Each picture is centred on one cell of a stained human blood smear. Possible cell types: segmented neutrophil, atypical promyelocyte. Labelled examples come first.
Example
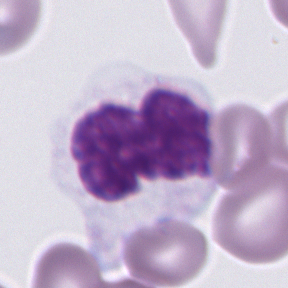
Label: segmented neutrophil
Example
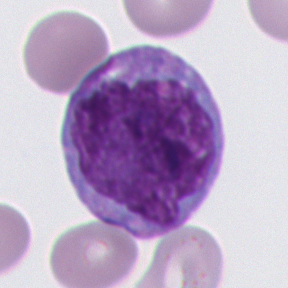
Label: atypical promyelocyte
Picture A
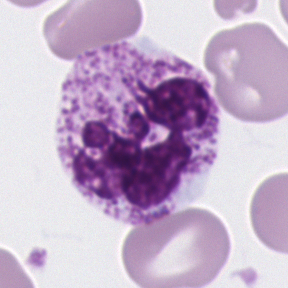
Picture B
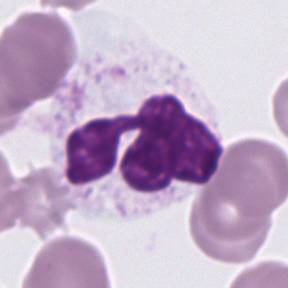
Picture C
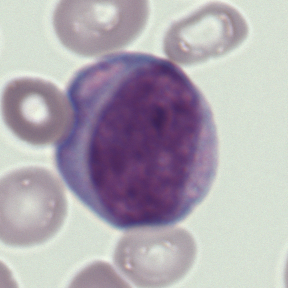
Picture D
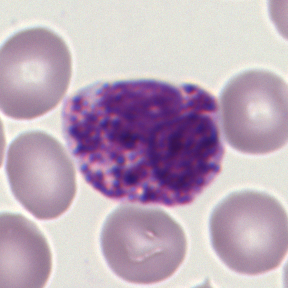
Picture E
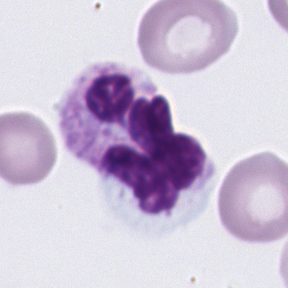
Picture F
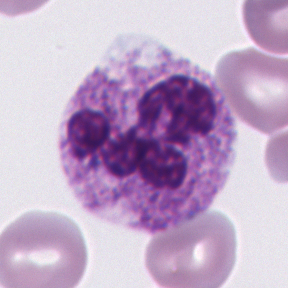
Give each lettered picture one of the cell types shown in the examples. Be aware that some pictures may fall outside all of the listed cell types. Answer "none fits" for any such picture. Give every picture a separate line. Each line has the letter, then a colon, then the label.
A: segmented neutrophil
B: segmented neutrophil
C: atypical promyelocyte
D: none fits
E: segmented neutrophil
F: segmented neutrophil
